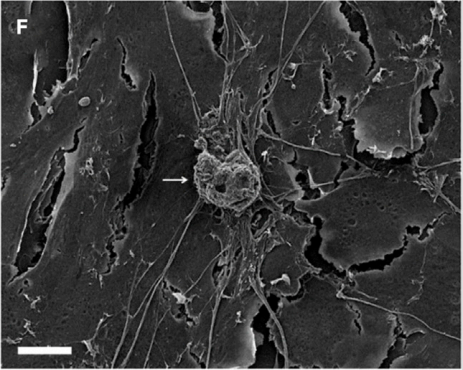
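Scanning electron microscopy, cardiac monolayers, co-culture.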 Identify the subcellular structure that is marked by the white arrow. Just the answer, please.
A: neuron body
